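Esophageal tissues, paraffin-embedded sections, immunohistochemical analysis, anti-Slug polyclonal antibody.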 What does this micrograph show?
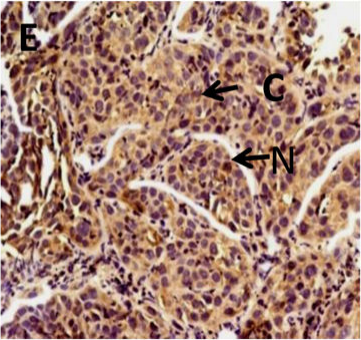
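This shows sheets and nests of tumor cells of squamous cell carcinoma separated by narrow strands of stroma and cleft-like spaces. The tumor cells are crowded, with large round to oval nuclei of varying size. The stromal strands between the nests are thin and contain elongated cells.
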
